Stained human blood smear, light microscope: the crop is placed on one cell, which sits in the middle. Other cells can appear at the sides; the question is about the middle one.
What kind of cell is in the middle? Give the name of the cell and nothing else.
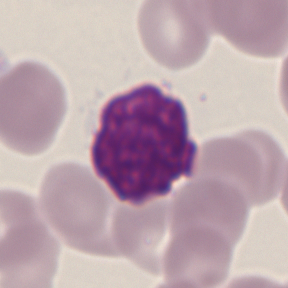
smudge cell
